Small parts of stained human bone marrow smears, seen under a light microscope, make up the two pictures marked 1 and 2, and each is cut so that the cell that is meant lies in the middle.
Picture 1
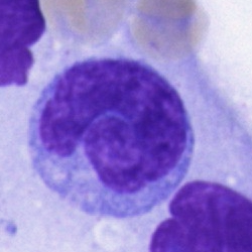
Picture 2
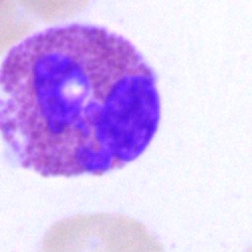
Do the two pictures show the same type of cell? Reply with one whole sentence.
No. Picture 1 shows a monocyte, but picture 2 shows an eosinophil.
